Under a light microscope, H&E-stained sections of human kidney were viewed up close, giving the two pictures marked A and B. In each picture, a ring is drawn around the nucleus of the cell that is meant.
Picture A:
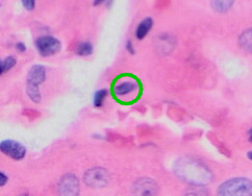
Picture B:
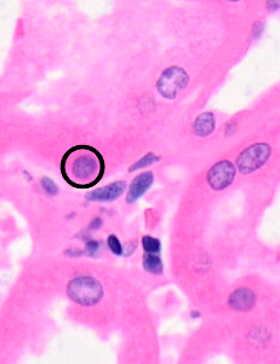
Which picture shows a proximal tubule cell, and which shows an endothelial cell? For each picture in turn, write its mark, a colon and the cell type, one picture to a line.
A: endothelial cell
B: proximal tubule cell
